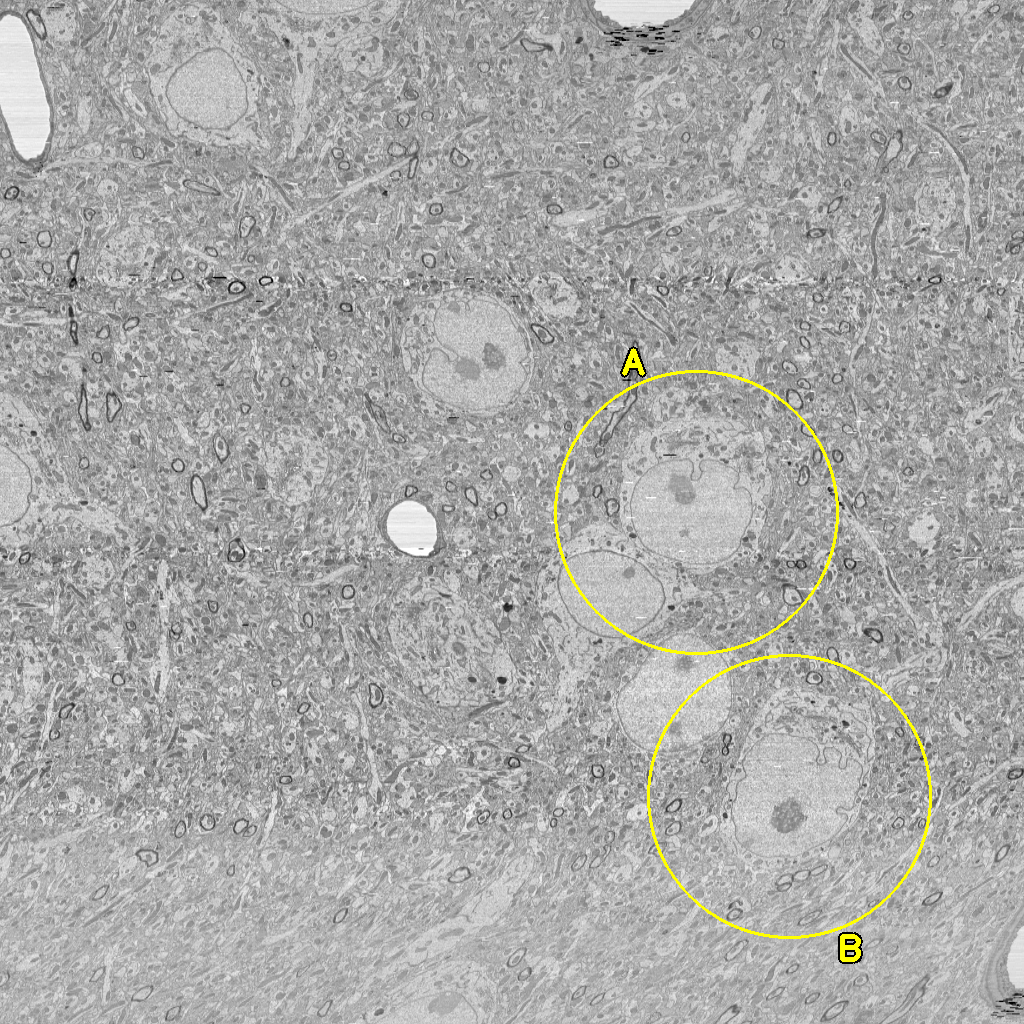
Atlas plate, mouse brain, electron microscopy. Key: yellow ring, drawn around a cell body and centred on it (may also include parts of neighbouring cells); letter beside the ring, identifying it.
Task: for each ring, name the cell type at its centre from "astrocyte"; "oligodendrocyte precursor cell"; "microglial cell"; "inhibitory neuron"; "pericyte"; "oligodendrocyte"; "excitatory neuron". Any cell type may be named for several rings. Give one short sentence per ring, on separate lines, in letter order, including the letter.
Ring A is centred over an excitatory neuron.
Ring B is centred over an inhibitory neuron.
